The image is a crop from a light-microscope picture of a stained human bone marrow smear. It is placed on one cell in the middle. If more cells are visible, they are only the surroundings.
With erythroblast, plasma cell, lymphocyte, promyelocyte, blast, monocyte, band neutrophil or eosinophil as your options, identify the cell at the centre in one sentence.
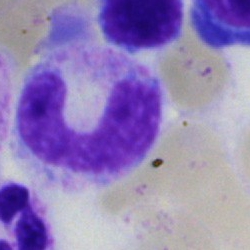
The central cell in this smear crop is a band neutrophil.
